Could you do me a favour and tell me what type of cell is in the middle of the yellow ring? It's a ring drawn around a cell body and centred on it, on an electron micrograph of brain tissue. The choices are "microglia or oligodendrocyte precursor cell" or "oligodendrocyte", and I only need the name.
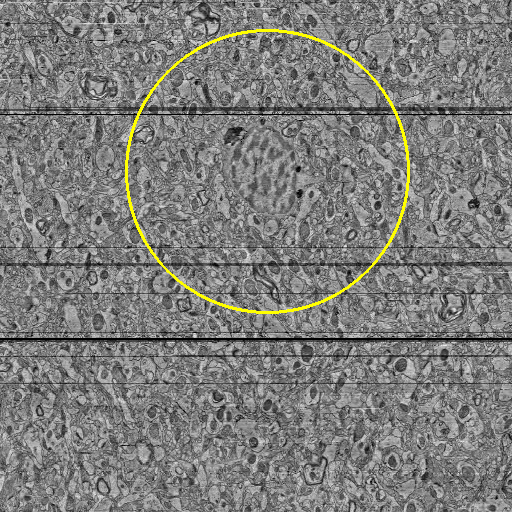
oligodendrocyte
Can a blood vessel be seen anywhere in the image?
No, no blood vessel can be seen.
